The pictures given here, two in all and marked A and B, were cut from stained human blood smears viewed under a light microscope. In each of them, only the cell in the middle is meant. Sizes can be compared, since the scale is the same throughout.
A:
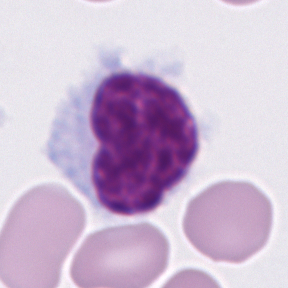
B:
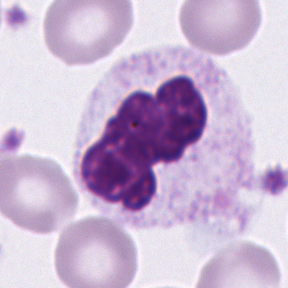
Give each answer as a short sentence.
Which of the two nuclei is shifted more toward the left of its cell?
It is the nucleus in crop B that lies further toward the left of its cell.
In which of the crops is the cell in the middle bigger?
The cell in crop B is larger, with about 1.5 times the area of the one in crop A.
